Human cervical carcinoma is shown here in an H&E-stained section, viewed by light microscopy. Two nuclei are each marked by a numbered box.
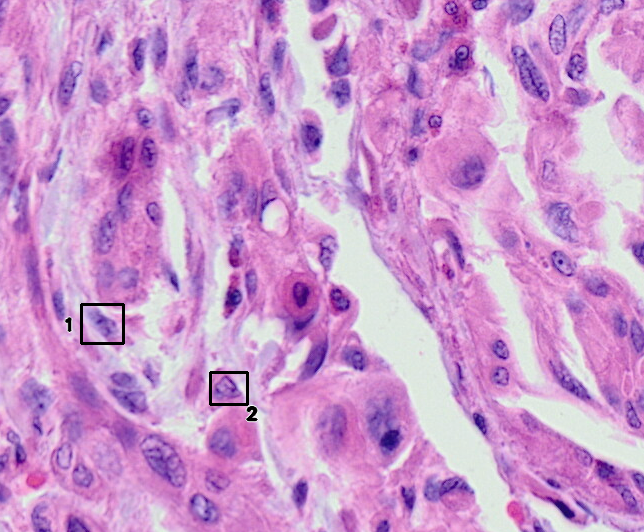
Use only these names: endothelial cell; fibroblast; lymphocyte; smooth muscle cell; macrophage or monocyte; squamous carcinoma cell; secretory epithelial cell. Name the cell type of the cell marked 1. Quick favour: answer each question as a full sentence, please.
The marked nucleus 1 is that of a fibroblast.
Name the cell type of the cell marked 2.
The one numbered 2 among the marked cells is a macrophage or monocyte.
